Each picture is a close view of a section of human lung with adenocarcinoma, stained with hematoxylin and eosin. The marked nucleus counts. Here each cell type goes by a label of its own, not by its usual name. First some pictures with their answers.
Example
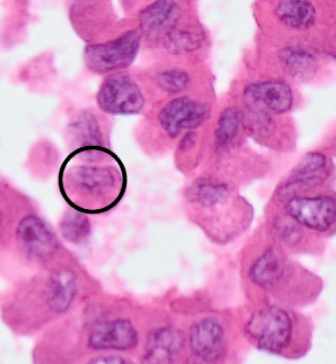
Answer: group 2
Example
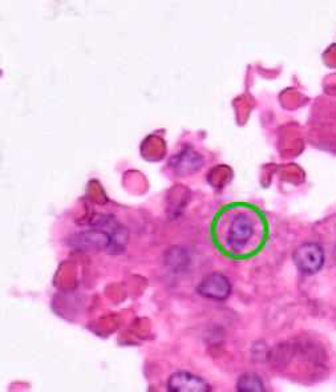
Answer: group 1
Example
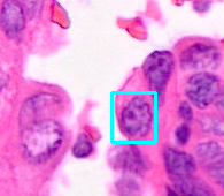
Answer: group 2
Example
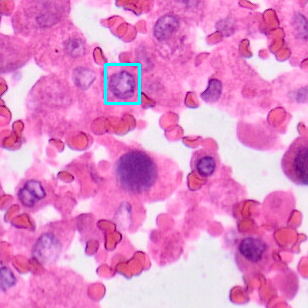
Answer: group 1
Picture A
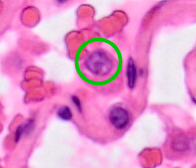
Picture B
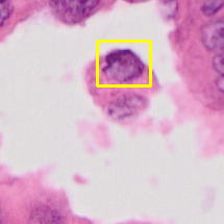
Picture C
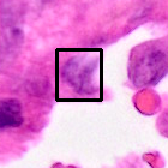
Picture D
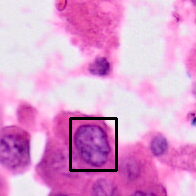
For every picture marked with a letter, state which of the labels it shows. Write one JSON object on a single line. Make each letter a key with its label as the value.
{"A": "group 1", "B": "group 2", "C": "group 2", "D": "group 2"}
